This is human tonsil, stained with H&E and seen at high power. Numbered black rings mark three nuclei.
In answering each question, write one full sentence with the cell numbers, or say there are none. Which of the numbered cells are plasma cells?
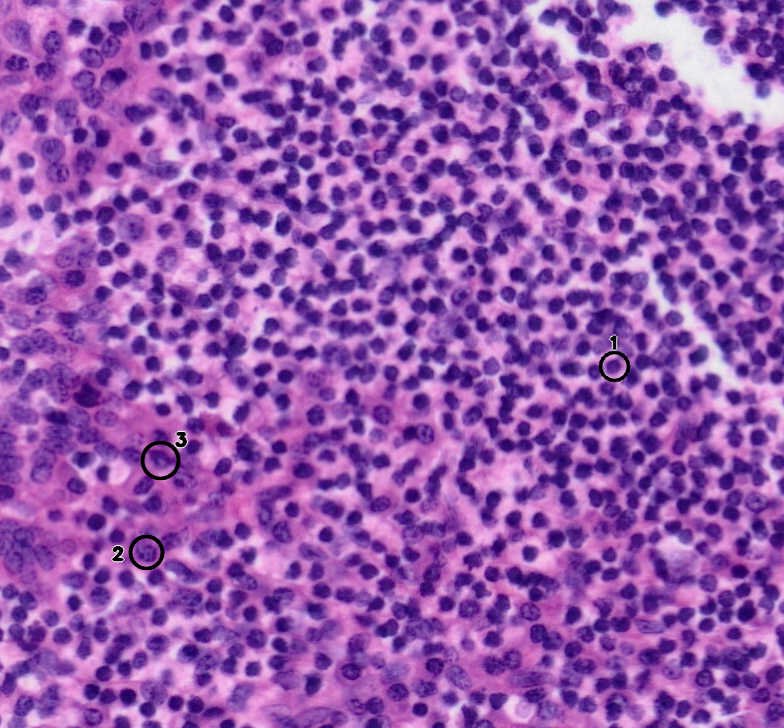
In short, the numbered cells 2 and 3 are plasma cells.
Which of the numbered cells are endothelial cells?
The tally for endothelial cells among the numbered cells is zero.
